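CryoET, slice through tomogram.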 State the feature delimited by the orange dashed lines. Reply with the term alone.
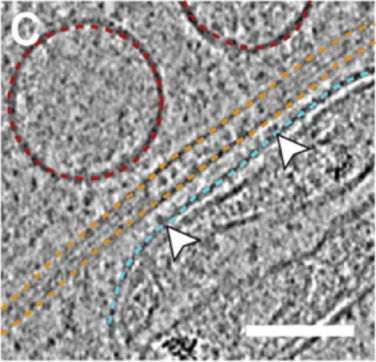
Microtubule.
